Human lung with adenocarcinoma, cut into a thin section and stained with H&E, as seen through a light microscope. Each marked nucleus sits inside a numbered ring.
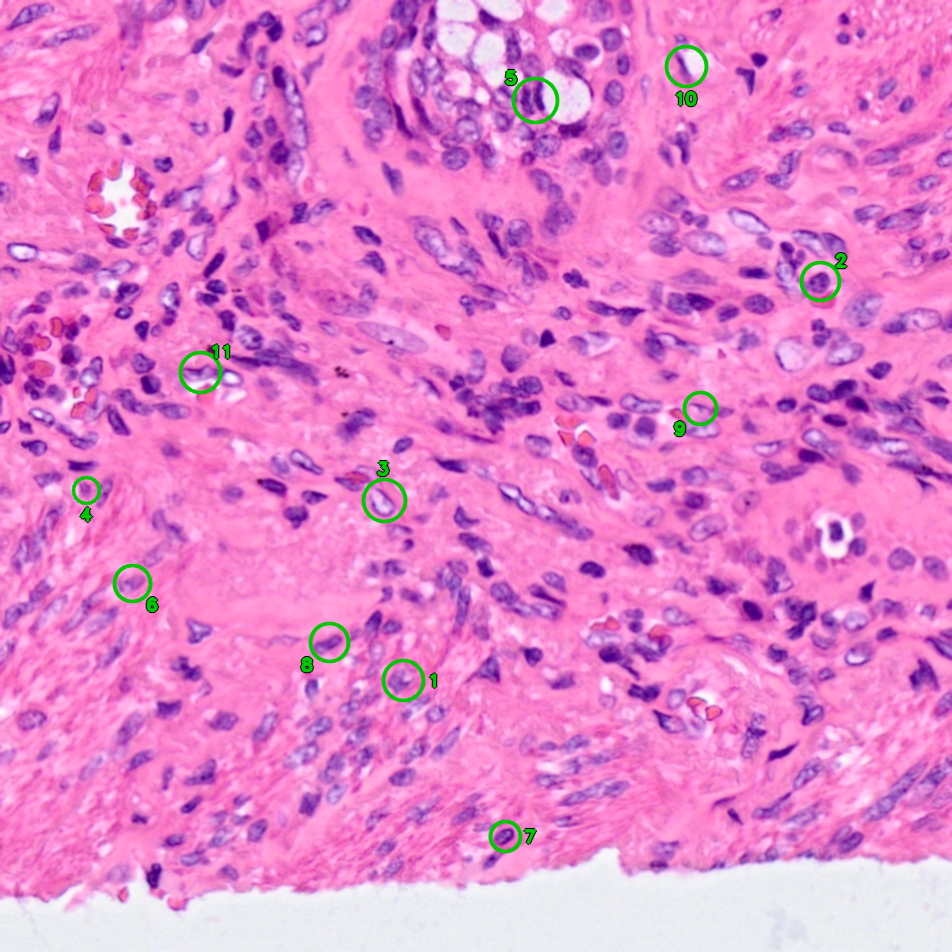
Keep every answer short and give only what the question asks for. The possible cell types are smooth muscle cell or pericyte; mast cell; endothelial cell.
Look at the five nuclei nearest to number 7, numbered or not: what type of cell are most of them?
smooth muscle cell or pericyte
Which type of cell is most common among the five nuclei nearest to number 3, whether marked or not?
endothelial cell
